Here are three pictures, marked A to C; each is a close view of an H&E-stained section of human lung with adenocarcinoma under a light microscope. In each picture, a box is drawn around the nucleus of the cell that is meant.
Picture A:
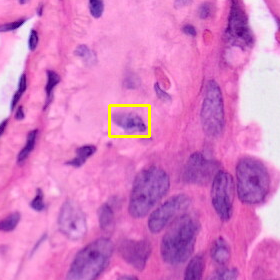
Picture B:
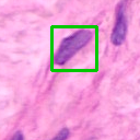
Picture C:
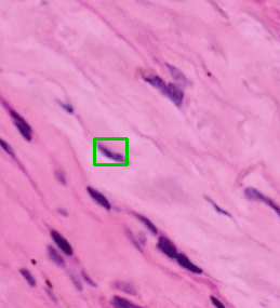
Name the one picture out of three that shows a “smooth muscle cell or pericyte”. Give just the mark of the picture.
B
